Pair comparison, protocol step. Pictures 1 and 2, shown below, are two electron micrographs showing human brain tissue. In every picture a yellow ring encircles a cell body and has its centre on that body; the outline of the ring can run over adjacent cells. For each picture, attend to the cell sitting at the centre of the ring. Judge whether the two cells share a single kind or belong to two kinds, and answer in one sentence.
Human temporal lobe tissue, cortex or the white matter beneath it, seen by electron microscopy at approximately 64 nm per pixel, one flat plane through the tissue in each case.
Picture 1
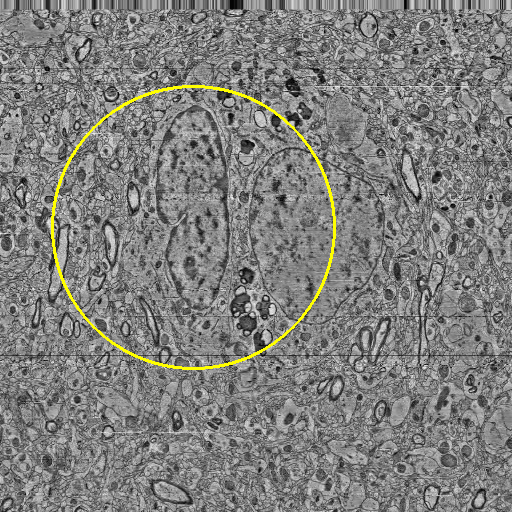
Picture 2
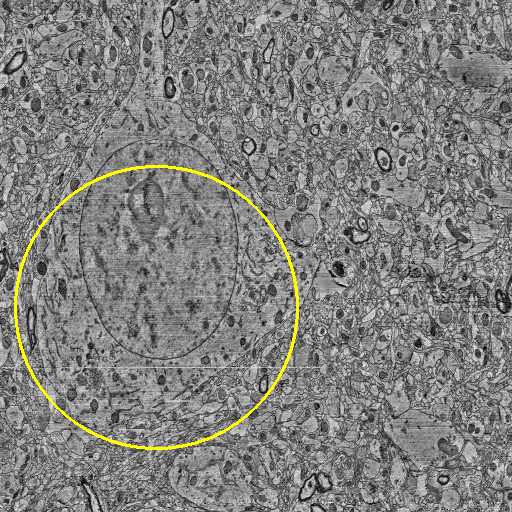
The two cells at the ring centres in Picture 1 and Picture 2 belong to two kinds.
